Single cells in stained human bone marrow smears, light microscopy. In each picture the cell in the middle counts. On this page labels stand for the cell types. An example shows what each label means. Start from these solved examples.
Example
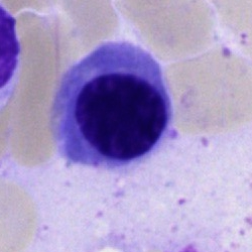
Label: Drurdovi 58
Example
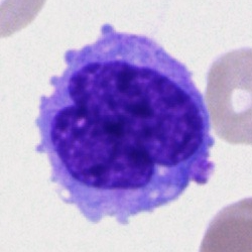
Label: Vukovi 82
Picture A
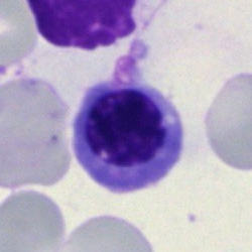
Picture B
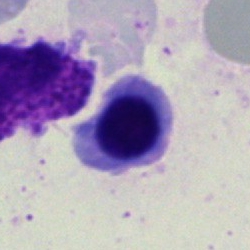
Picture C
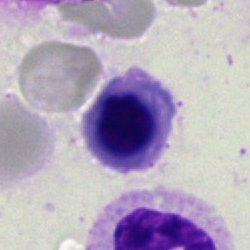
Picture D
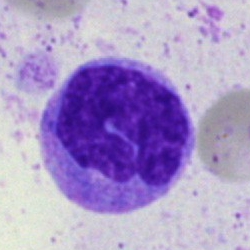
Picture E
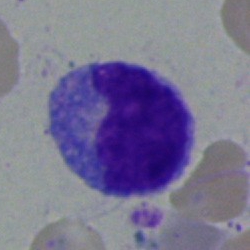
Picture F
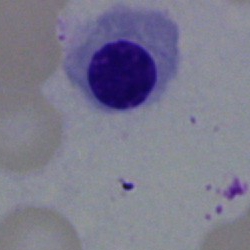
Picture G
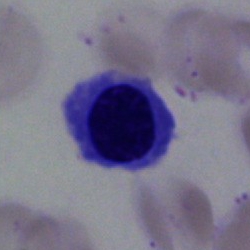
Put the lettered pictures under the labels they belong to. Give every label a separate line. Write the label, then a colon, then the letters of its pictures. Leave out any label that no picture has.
Drurdovi 58: A, B, C, F, G
Vukovi 82: D, E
